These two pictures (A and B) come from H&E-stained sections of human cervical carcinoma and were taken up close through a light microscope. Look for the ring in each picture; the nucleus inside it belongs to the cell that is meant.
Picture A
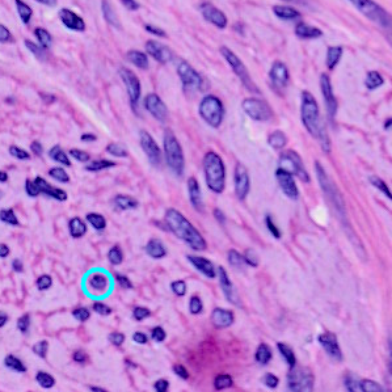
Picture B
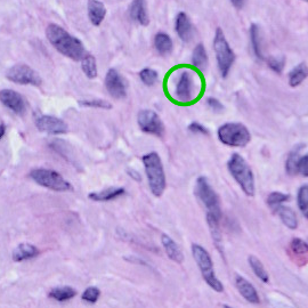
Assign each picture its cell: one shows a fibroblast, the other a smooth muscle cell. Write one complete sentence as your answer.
Picture A is of a smooth muscle cell, and picture B is of a fibroblast.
